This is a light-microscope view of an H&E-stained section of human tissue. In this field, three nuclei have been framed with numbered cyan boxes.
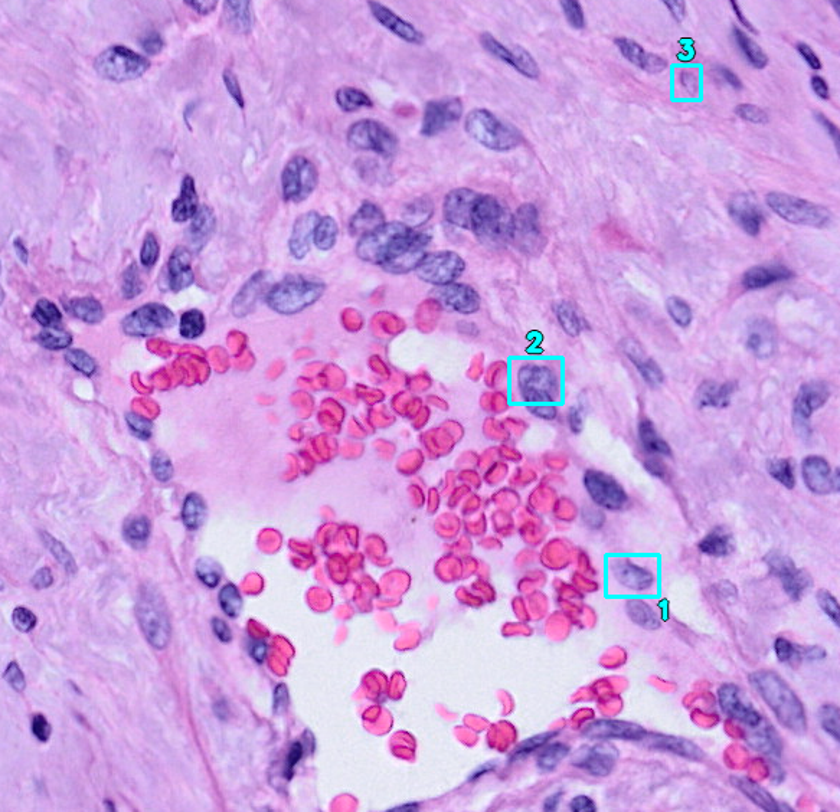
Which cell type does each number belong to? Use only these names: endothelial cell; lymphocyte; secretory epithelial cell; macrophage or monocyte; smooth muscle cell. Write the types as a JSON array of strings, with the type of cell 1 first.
["endothelial cell", "endothelial cell", "smooth muscle cell"]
